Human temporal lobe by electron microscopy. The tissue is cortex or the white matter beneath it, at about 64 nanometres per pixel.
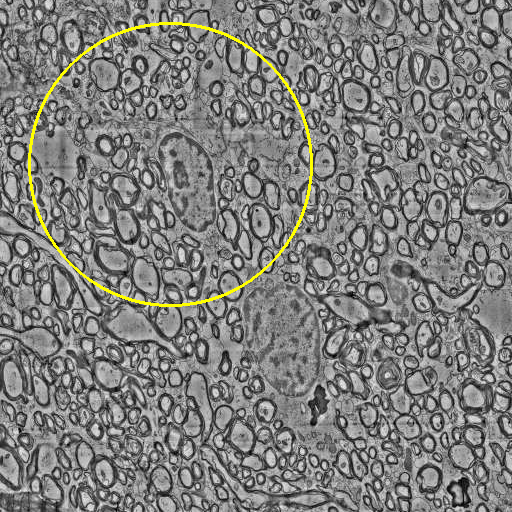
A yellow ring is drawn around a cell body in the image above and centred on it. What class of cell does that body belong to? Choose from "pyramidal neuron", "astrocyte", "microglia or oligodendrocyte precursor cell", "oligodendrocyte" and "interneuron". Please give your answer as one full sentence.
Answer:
The yellow ring above is centred on the cell body of a microglial cell or oligodendrocyte precursor cell.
